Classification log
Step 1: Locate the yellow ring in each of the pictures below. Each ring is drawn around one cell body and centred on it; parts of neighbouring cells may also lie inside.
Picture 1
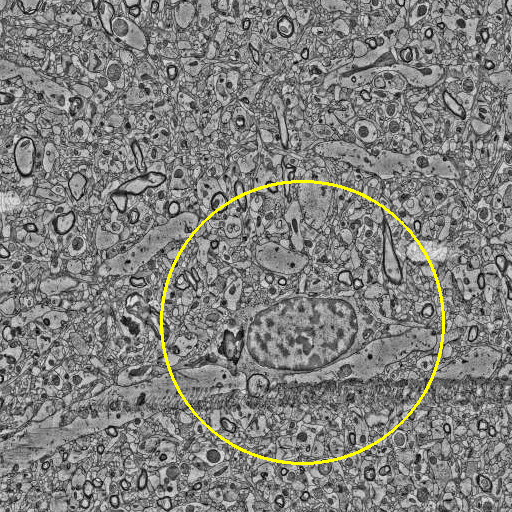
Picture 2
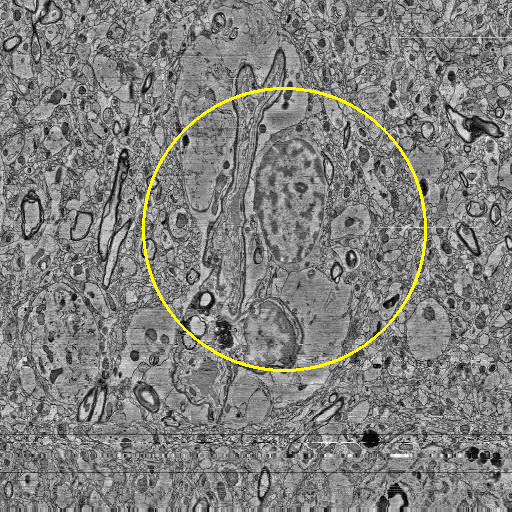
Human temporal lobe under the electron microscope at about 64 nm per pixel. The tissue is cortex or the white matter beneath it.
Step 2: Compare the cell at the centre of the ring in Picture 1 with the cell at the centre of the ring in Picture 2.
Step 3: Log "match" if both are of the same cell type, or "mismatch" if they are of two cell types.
match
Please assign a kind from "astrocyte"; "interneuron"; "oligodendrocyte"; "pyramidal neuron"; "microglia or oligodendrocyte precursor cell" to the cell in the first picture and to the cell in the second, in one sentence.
Each of the two cells is an oligodendrocyte.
